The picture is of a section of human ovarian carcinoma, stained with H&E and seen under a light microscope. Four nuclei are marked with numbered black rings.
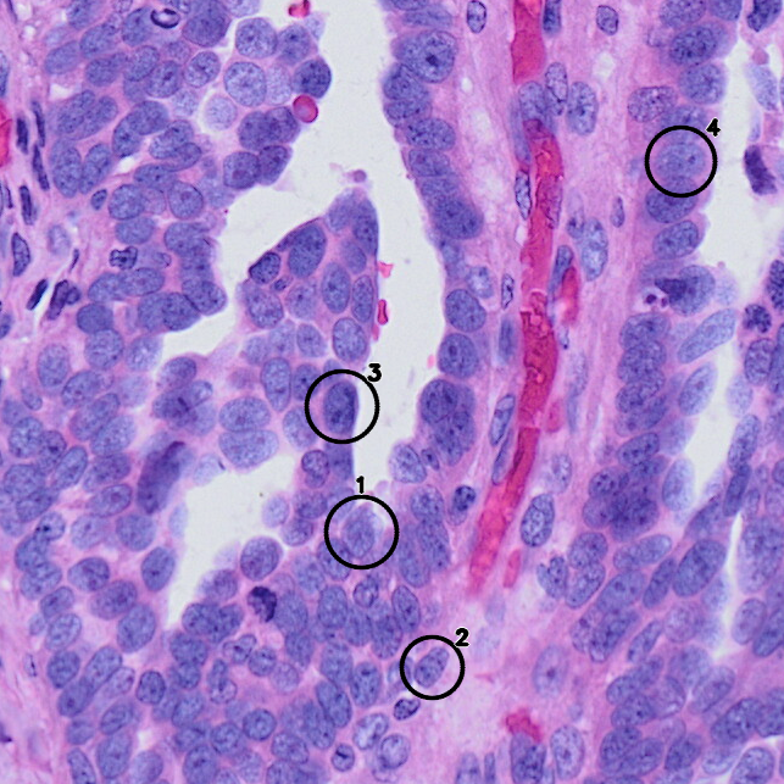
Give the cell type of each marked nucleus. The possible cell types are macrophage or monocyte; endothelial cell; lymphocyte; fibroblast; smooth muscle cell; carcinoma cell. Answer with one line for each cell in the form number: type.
1: carcinoma cell
2: macrophage or monocyte
3: carcinoma cell
4: carcinoma cell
